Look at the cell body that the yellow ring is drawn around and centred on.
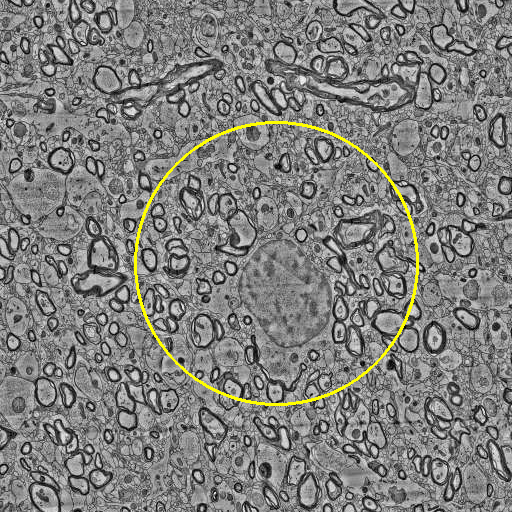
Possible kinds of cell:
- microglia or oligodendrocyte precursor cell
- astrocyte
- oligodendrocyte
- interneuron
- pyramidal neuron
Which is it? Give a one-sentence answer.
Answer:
The centred cell body is that of an oligodendrocyte.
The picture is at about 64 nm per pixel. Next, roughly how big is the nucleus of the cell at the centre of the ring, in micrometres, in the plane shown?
In this plane, the nucleus of the cell at the centre of the ring is about 7 micrometres across.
